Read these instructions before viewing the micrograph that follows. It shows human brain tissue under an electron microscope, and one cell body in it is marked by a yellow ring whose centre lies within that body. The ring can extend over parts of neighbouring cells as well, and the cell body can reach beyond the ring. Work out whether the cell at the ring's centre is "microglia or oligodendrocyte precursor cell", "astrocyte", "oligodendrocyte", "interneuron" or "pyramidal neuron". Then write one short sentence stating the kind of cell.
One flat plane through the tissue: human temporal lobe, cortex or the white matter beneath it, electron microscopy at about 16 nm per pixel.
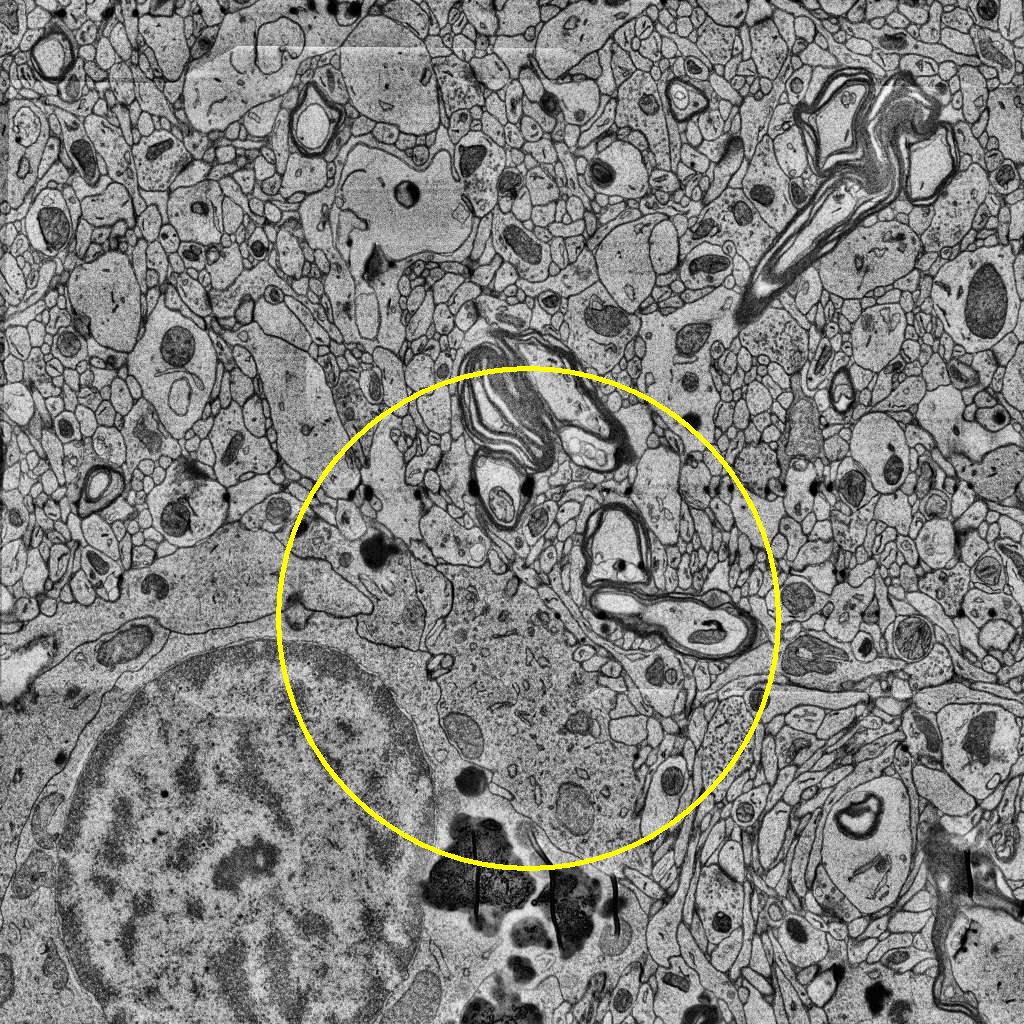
The cell at the ring's centre is an oligodendrocyte.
